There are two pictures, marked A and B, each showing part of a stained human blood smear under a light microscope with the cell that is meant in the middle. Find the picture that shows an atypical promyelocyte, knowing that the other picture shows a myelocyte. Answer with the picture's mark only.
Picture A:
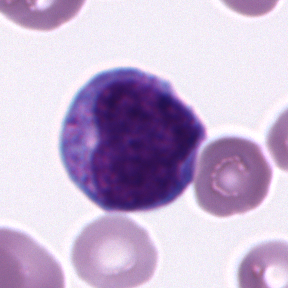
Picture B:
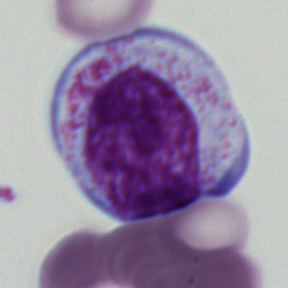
A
